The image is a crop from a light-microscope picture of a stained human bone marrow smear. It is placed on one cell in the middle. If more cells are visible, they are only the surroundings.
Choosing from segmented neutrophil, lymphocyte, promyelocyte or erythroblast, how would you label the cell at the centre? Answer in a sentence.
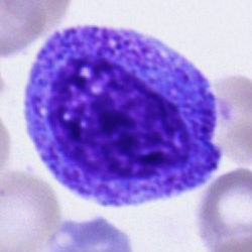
Centred in the crop is a promyelocyte.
